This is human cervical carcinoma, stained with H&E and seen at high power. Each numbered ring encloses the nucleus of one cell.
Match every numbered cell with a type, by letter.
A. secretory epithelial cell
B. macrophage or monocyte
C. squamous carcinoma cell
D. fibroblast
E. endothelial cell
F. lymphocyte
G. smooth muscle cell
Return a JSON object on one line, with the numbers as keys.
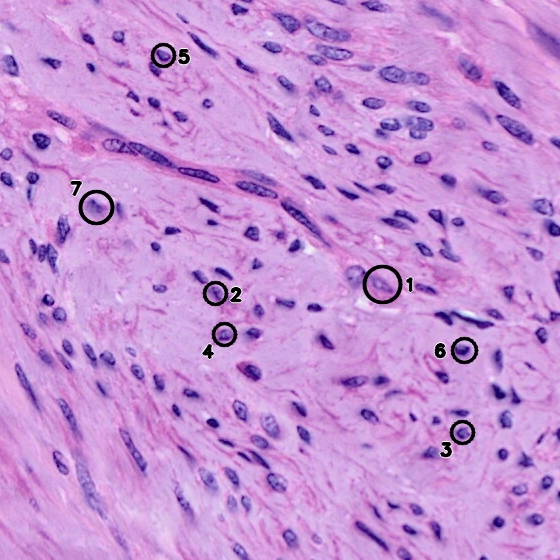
{"1": "E", "2": "G", "3": "G", "4": "G", "5": "G", "6": "D", "7": "D"}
